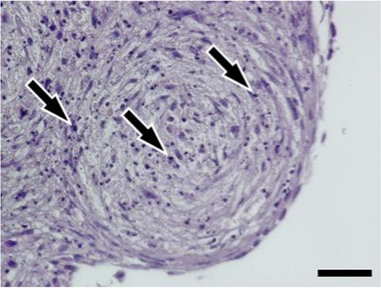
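Section through a rounded cell aggregate made of densely packed spindle-shaped cells. The cells are arranged in concentric, whorled layers around a central region, giving the mass a swirling pattern. Nuclei stain purple and are mostly elongated, following the long axis of the cells, within pale lilac cytoplasm and matrix. Scattered among them are small, very dark, compact nuclei. The outer border of the aggregate is smooth and curved, with flattened cells lining the surface.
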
